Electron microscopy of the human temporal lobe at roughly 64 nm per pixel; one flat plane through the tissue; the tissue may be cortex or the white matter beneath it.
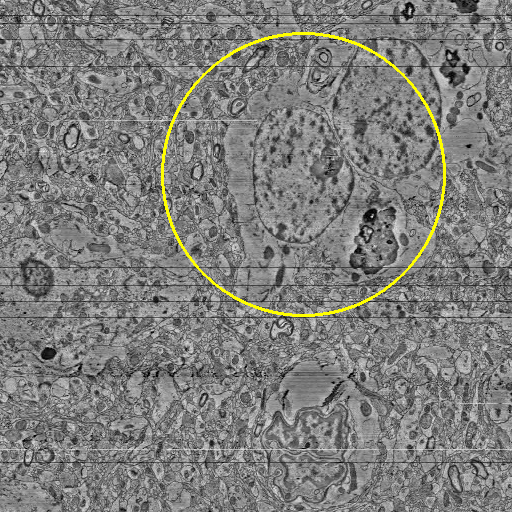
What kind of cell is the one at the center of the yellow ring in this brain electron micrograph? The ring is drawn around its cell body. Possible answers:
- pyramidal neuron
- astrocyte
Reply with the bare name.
astrocyte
